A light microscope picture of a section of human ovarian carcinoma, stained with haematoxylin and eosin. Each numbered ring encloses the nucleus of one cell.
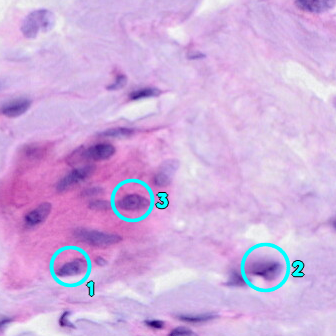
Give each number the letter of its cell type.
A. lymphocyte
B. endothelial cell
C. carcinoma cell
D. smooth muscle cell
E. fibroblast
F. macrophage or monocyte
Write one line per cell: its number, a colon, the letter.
1: D
2: E
3: D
